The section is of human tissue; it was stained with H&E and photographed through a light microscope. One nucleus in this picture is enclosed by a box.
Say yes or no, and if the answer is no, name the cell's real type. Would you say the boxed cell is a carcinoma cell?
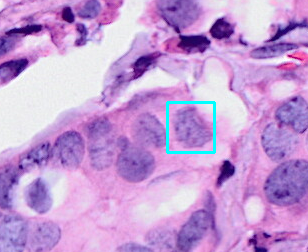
Yes.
